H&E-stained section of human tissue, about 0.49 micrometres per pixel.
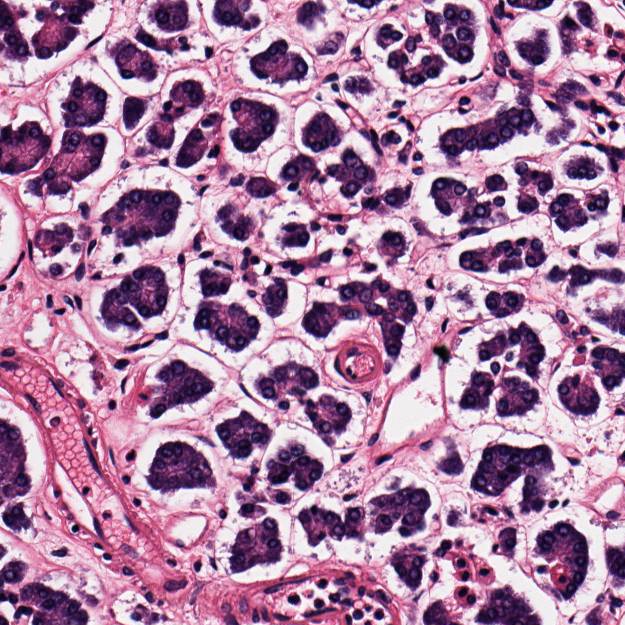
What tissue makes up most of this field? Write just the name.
exocrine pancreas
